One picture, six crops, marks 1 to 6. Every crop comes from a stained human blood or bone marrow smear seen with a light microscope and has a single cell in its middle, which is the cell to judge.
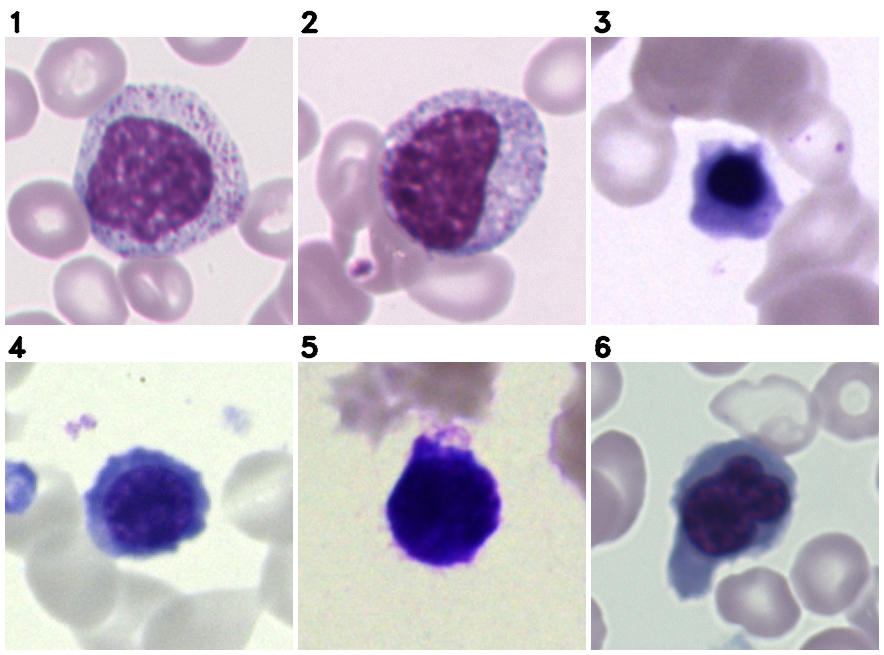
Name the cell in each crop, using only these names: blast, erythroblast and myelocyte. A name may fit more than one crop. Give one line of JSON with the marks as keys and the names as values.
{"1": "myelocyte", "2": "myelocyte", "3": "erythroblast", "4": "erythroblast", "5": "blast", "6": "erythroblast"}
